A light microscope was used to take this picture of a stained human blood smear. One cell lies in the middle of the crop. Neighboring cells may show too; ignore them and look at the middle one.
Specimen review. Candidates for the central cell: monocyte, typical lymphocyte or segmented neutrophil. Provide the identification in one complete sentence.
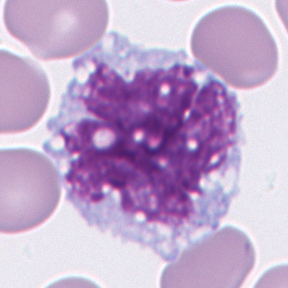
The cell found in the middle of this crop is a monocyte.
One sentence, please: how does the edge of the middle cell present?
Because its outline is ragged or drawn out into projections, the cell lacks a smooth border.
